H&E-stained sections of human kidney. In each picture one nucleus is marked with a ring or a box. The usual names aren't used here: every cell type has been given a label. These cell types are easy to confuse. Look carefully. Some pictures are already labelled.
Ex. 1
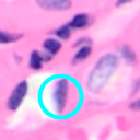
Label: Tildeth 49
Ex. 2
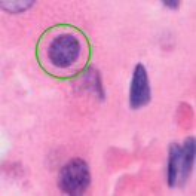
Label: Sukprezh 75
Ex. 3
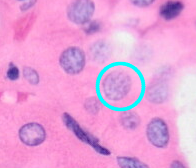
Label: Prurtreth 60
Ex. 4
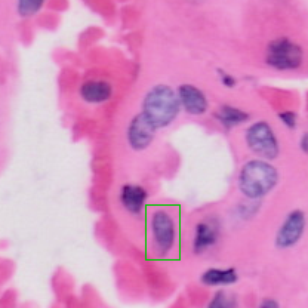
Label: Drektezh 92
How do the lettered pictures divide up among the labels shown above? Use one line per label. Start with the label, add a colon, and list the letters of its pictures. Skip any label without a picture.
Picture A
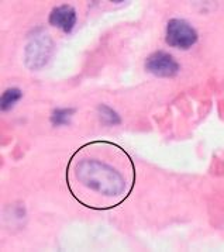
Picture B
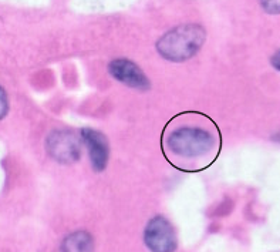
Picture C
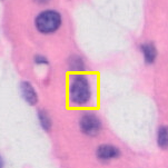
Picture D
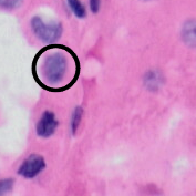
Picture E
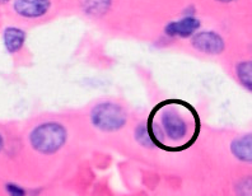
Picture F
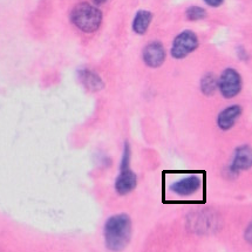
Tildeth 49: F
Sukprezh 75: A
Prurtreth 60: B, C, D
Drektezh 92: E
